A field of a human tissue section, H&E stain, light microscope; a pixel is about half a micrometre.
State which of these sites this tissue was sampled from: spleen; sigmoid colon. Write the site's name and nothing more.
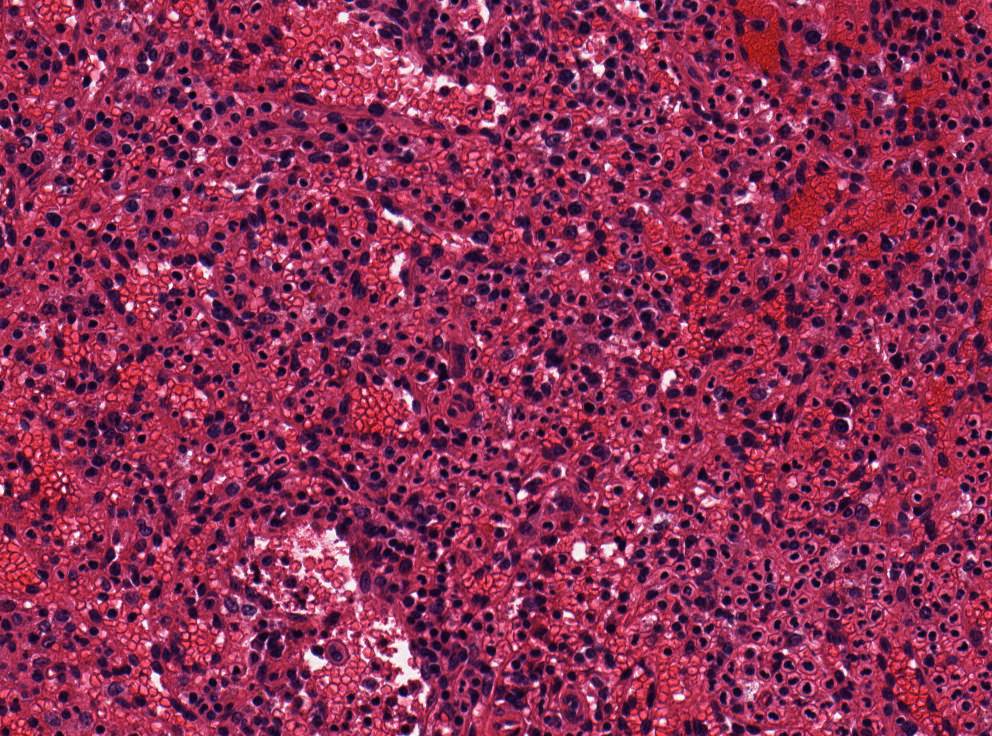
spleen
